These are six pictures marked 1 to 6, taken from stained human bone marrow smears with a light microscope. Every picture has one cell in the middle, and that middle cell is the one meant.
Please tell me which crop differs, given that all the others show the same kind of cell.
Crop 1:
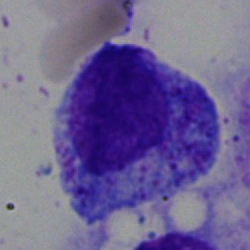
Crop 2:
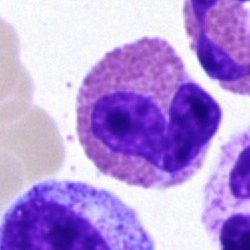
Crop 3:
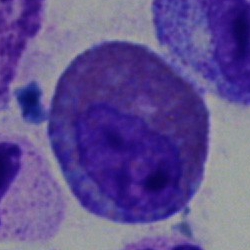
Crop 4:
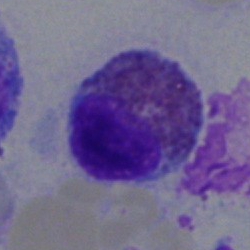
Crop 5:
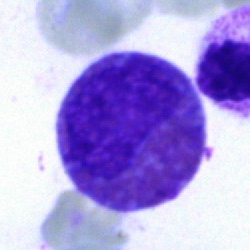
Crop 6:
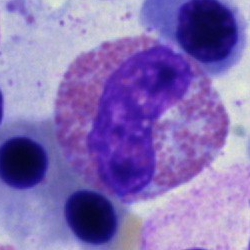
1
